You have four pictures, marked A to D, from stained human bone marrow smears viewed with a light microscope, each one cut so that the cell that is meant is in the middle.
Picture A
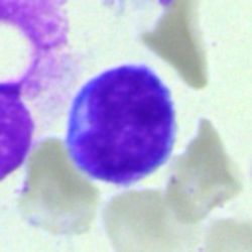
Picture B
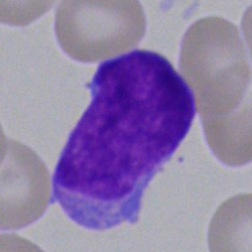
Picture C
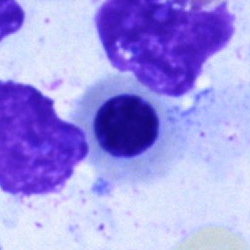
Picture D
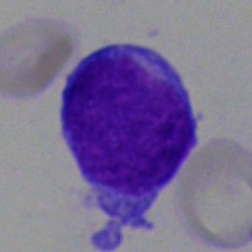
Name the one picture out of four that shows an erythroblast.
C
